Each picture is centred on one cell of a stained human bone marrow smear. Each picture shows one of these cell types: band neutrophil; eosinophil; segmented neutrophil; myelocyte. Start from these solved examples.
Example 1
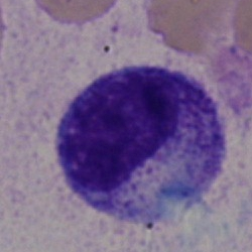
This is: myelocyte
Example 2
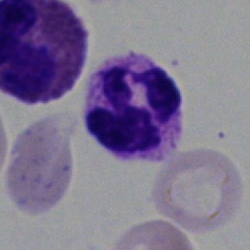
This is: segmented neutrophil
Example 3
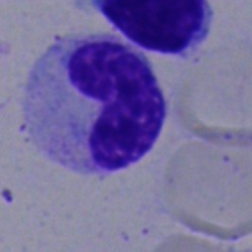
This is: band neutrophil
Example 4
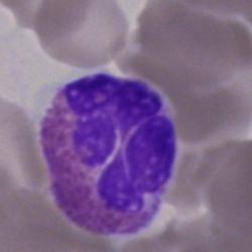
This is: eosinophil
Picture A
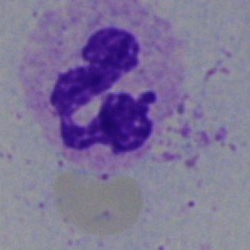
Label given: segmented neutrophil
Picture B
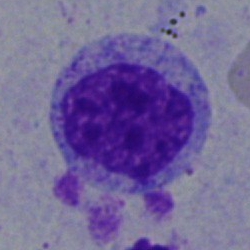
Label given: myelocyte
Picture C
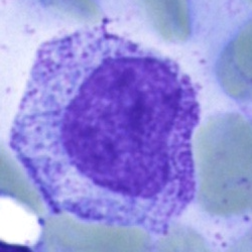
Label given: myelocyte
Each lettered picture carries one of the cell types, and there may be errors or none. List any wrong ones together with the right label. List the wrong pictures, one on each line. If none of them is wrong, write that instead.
Every label is right.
